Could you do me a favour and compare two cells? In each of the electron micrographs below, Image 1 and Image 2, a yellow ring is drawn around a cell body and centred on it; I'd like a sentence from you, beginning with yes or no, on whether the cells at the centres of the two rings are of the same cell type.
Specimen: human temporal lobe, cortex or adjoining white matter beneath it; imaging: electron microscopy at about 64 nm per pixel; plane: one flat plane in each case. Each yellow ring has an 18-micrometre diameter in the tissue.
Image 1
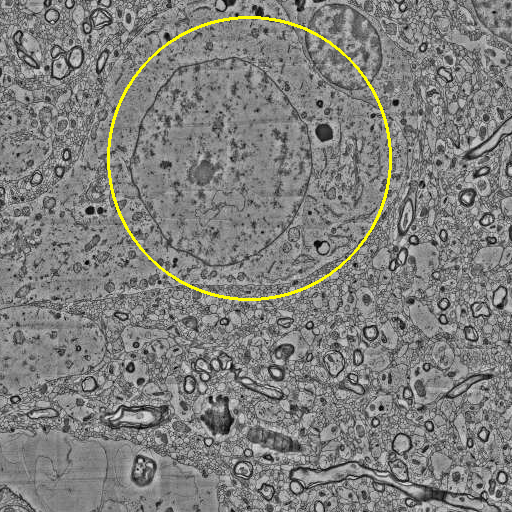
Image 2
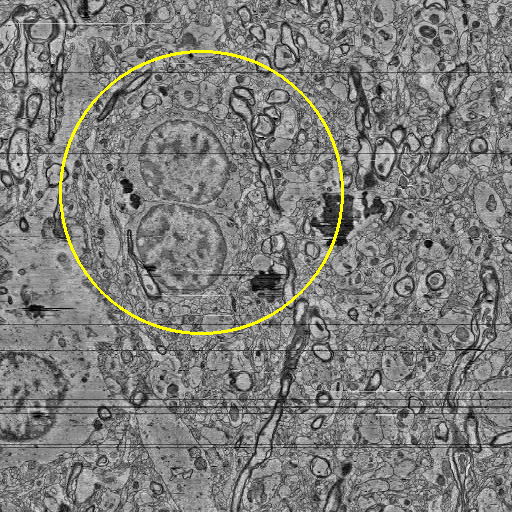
No, the two cells are of two cell types.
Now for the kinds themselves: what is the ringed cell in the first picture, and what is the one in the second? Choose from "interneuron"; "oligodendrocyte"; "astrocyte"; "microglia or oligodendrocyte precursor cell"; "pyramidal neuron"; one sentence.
Here the first cell is a pyramidal neuron and the second cell is an oligodendrocyte.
